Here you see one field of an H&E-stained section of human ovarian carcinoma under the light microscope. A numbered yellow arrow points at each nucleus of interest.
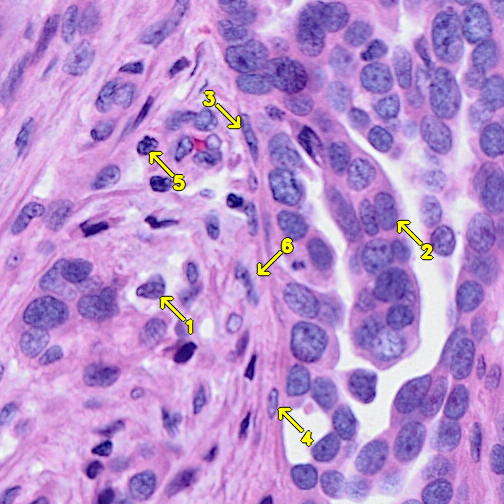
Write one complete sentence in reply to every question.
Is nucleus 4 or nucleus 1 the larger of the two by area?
The larger nucleus is 1, at roughly 2.5 times the area of 4.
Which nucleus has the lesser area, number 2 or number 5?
The smaller nucleus is 5, and 2 covers roughly 3 times its area.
